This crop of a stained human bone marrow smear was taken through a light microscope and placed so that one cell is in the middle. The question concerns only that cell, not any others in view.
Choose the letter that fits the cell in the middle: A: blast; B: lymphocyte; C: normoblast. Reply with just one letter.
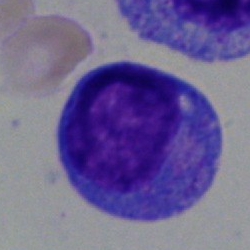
A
